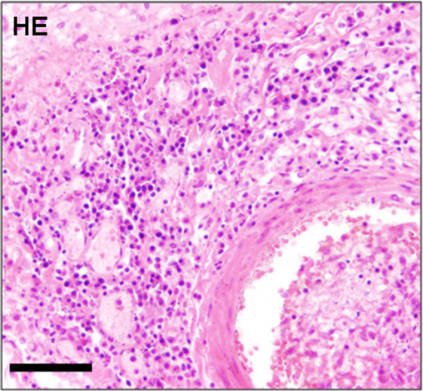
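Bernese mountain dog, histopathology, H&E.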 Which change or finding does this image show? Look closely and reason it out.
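Periarteritis. Dense sheets of small cells with dark round nuclei fill the tissue around the vessel wall. Larger pale pink cells with abundant cytoplasm are scattered among them.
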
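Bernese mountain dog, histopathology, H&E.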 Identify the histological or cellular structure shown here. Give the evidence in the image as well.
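A round vessel with a thick, pink, layered muscular wall at the lower right. An open lumen inside the wall containing loose cellular material. On this evidence: artery.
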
